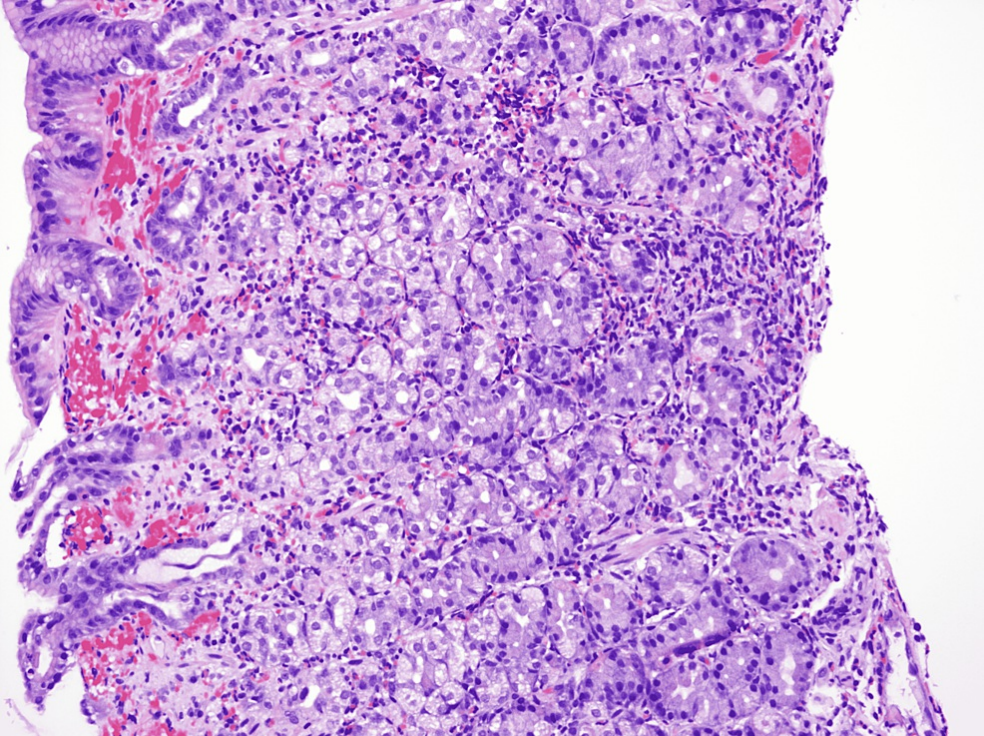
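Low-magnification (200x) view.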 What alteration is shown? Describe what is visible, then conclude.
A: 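Chronic gastritis. Many small dark round nuclei of inflammatory cells crowd the connective tissue between the glands. The inflammatory infiltrate is densest in the upper and right part of the field.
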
